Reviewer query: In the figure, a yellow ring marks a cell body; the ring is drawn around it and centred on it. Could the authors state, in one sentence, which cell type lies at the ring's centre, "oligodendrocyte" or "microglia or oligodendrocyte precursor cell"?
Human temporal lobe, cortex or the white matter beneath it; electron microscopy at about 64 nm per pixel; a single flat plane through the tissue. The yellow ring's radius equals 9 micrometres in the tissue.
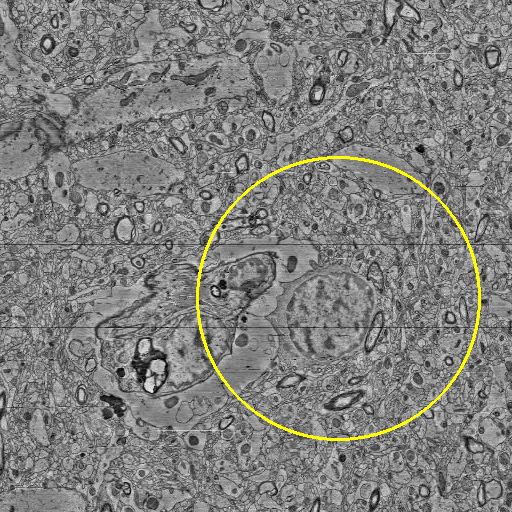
The ring is centred on an oligodendrocyte.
